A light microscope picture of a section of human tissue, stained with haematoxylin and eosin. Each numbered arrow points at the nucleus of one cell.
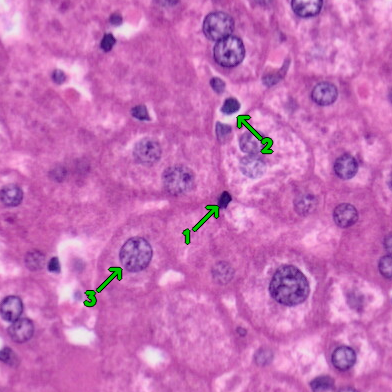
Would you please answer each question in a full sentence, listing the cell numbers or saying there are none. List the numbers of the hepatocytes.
Being a hepatocyte is true of cell 3 and of no other numbered cell.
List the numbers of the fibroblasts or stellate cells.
There is just one numbered cell that is a fibroblast or stellate cell, and it is cell 1.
